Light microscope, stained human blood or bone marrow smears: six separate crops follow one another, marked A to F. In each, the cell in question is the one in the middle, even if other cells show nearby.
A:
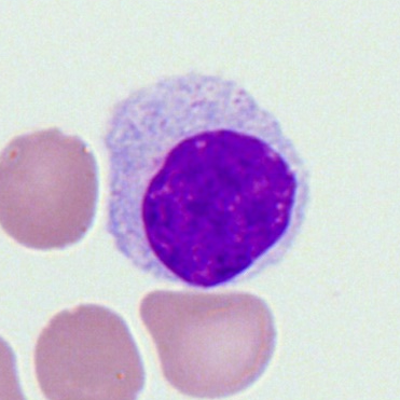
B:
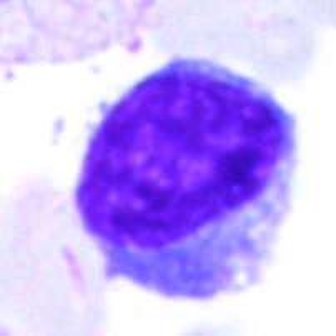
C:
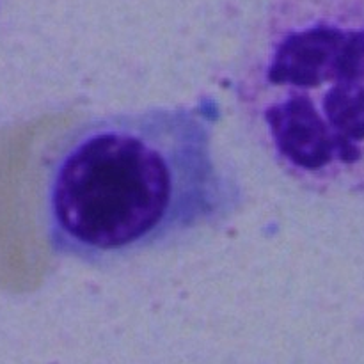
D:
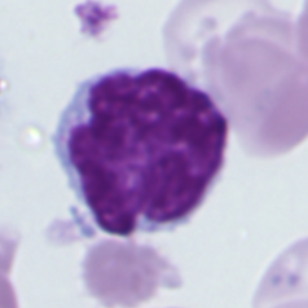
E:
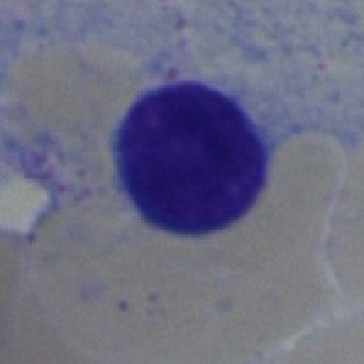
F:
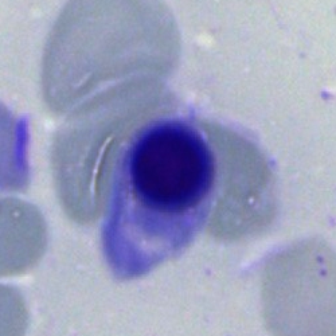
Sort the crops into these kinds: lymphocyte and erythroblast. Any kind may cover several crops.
A: lymphocyte
B: lymphocyte
C: erythroblast
D: lymphocyte
E: lymphocyte
F: erythroblast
